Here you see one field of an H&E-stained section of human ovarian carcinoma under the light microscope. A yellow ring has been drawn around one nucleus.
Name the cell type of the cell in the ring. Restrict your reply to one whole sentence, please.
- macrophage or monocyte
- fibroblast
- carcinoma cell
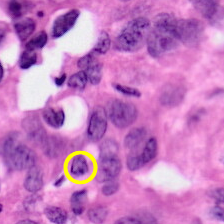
In short, the cell in the ring on this section is a macrophage or monocyte.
